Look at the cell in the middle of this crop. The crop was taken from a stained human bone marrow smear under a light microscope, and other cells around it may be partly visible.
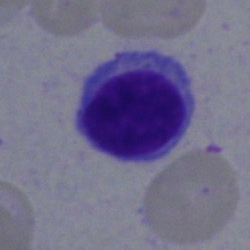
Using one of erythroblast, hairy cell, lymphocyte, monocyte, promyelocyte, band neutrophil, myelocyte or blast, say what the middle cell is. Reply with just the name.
lymphocyte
